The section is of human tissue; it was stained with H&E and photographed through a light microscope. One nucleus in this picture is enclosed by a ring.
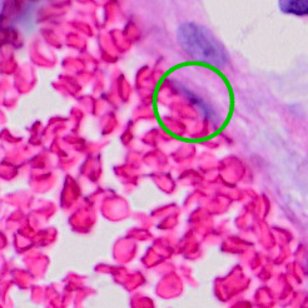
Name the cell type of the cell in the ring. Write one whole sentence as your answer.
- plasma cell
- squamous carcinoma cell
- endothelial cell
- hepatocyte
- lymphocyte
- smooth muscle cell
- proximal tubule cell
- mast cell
In the tissue under study, the cell in the ring is an endothelial cell.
